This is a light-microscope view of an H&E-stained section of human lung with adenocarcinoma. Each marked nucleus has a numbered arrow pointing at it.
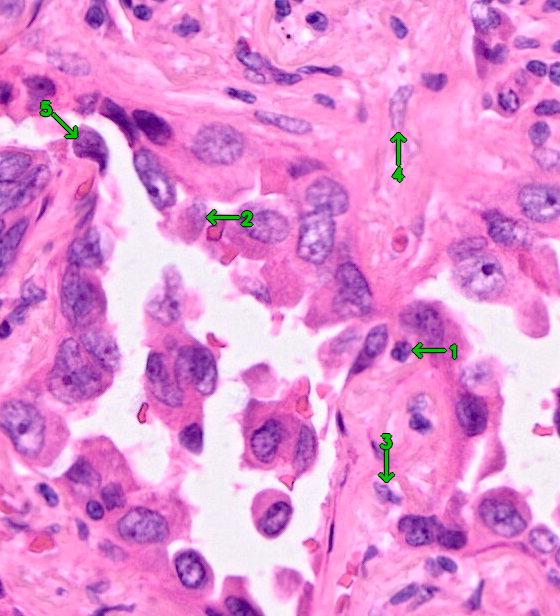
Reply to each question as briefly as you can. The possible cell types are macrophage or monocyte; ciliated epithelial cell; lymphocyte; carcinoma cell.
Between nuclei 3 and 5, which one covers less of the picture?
3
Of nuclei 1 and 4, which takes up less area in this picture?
1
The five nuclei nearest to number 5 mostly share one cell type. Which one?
carcinoma cell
